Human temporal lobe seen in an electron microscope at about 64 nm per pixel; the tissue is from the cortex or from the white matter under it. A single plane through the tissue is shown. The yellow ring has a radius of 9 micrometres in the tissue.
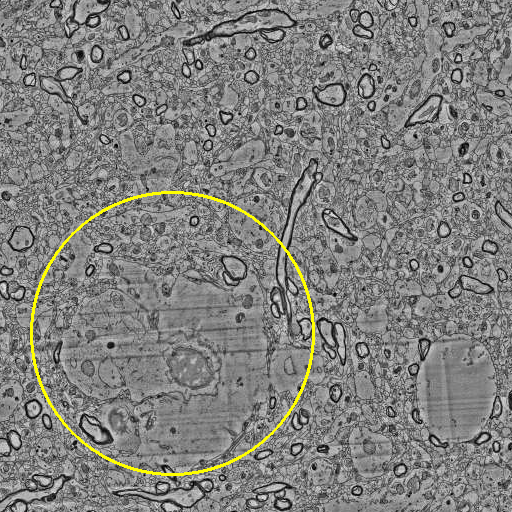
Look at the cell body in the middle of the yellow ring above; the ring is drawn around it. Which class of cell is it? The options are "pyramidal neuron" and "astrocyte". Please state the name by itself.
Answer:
astrocyte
